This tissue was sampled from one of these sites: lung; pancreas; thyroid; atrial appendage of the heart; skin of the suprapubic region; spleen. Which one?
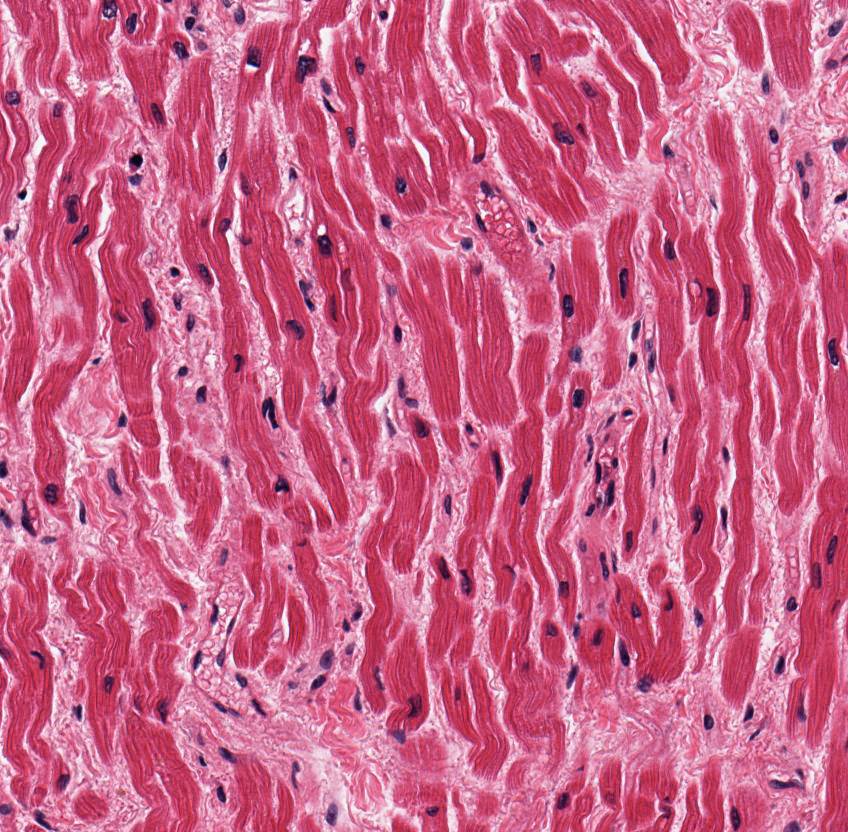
atrial appendage of the heart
